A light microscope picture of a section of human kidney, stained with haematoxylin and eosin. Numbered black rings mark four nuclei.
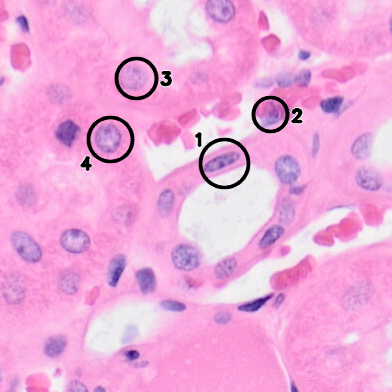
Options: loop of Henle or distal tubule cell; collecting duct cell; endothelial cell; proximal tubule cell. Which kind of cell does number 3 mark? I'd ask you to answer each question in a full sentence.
Of the numbered cells, the one labelled 3 is a proximal tubule cell.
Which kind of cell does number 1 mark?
The cell numbered 1 represents a collecting duct cell.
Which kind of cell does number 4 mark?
The cell indicated with the number 4 is classed as a proximal tubule cell.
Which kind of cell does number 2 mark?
The cell numbered 2 represents an endothelial cell.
